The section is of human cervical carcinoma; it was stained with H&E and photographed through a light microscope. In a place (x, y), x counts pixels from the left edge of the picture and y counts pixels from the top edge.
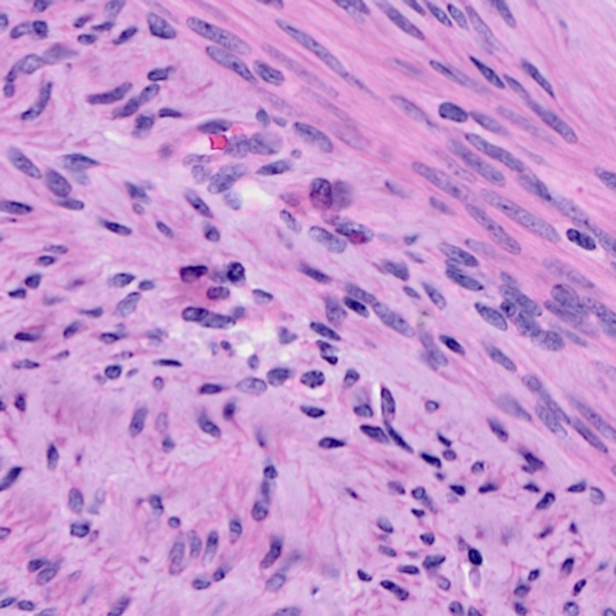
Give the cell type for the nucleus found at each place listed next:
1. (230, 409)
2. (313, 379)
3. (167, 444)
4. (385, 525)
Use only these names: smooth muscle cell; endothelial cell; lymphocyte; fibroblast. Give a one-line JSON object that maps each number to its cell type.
{"1": "smooth muscle cell", "2": "lymphocyte", "3": "smooth muscle cell", "4": "smooth muscle cell"}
